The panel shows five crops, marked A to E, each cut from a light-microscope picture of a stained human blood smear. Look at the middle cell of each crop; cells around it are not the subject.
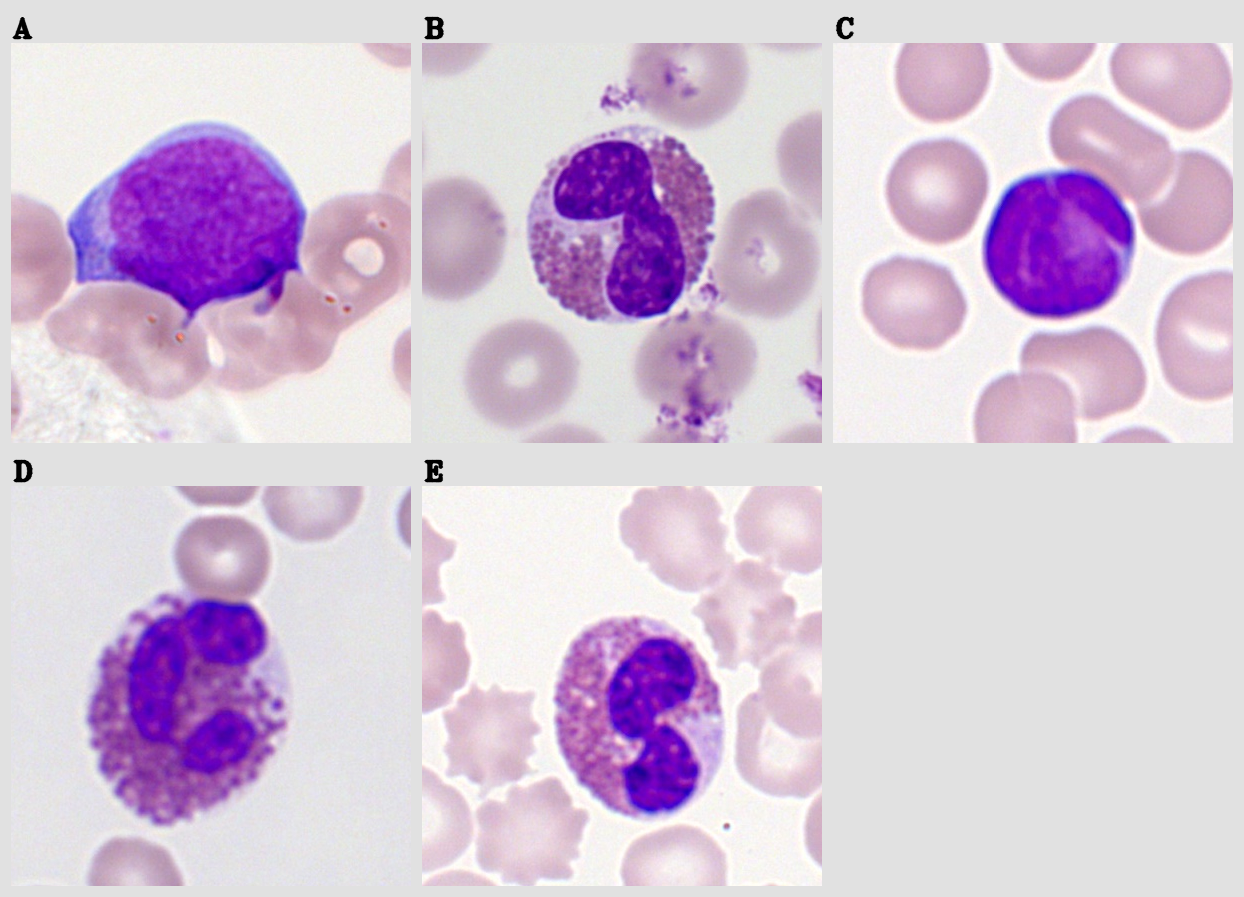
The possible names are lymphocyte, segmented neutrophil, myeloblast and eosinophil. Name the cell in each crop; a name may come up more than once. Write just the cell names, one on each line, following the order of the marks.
myeloblast
eosinophil
myeloblast
eosinophil
eosinophil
